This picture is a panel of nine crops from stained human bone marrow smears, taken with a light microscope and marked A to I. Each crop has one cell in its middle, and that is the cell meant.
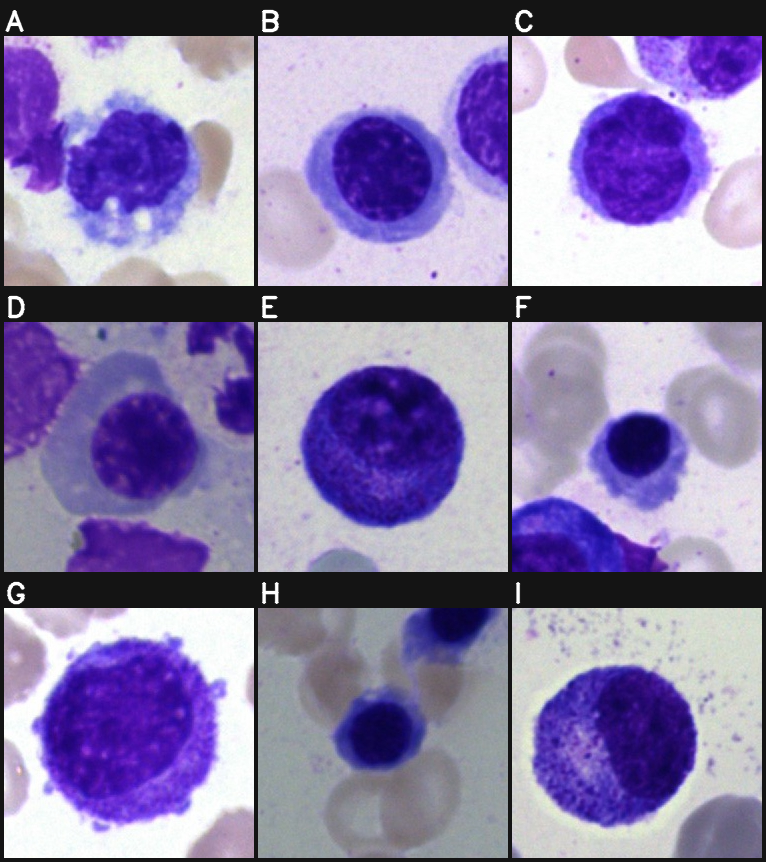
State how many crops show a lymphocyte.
0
